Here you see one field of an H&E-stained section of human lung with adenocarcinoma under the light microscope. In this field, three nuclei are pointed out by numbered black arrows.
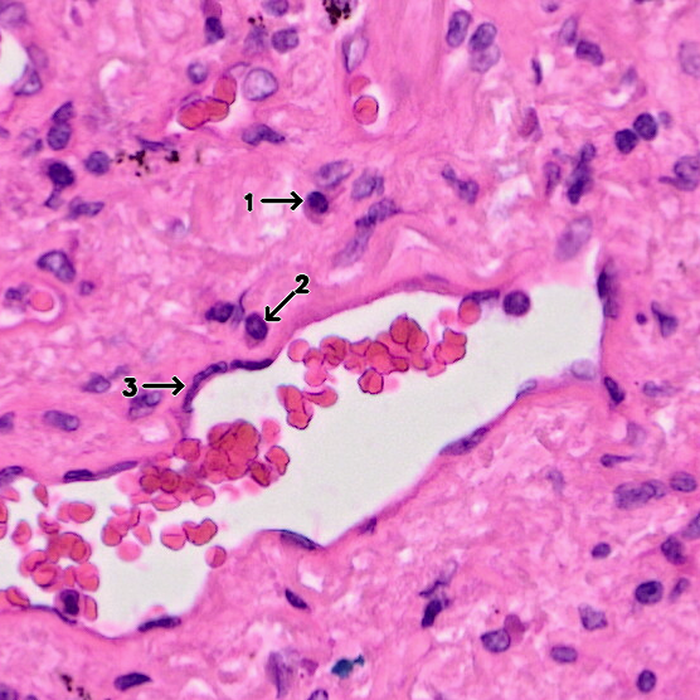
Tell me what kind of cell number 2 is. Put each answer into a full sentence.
The cell whose nucleus carries the number 2 is a plasma cell.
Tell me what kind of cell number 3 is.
The numbered cell 3 is identified here as an endothelial cell.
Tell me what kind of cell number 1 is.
Identified by the number 1, the cell is a plasma cell.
